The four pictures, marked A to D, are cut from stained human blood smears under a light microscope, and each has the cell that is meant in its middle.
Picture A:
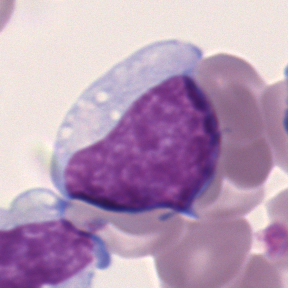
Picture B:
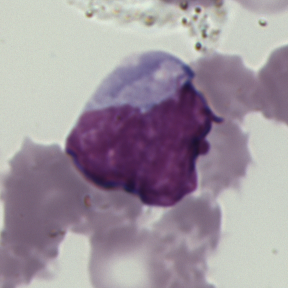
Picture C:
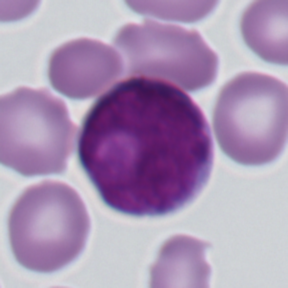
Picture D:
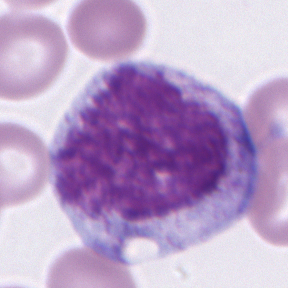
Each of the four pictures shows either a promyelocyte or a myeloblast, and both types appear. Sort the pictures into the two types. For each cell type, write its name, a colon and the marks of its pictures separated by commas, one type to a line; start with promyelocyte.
promyelocyte: D
myeloblast: A, B, C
